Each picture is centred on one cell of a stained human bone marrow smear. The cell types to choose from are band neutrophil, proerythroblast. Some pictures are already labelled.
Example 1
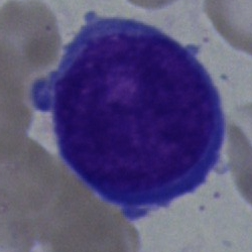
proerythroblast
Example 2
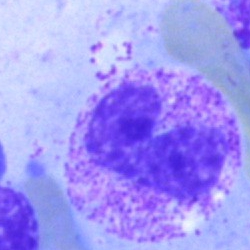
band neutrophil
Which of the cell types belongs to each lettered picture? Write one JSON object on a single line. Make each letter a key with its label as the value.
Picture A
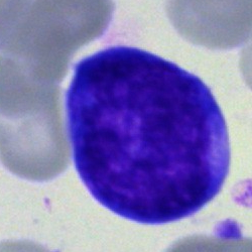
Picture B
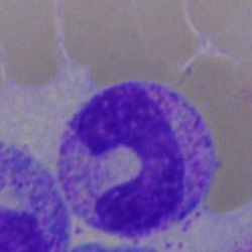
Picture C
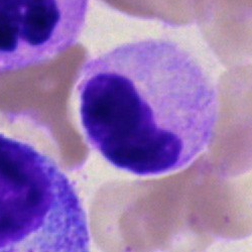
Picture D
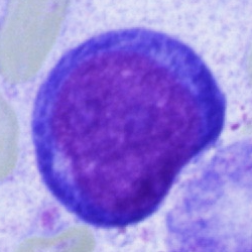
{"A": "proerythroblast", "B": "band neutrophil", "C": "band neutrophil", "D": "proerythroblast"}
